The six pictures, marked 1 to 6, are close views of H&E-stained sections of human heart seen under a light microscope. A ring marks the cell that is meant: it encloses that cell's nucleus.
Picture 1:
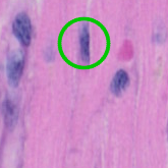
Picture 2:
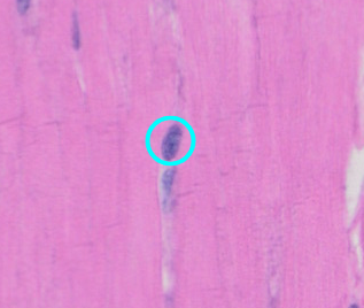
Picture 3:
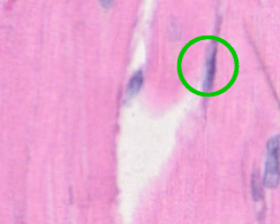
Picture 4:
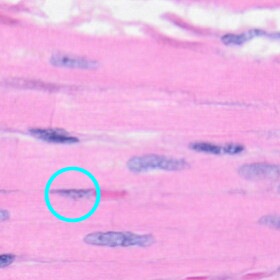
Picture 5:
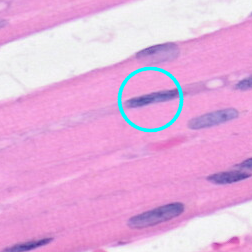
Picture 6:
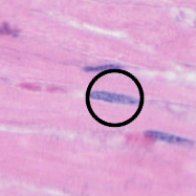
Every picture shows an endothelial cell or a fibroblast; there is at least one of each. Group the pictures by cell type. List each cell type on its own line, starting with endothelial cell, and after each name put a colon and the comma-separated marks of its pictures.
endothelial cell: 1, 3, 4, 5
fibroblast: 2, 6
